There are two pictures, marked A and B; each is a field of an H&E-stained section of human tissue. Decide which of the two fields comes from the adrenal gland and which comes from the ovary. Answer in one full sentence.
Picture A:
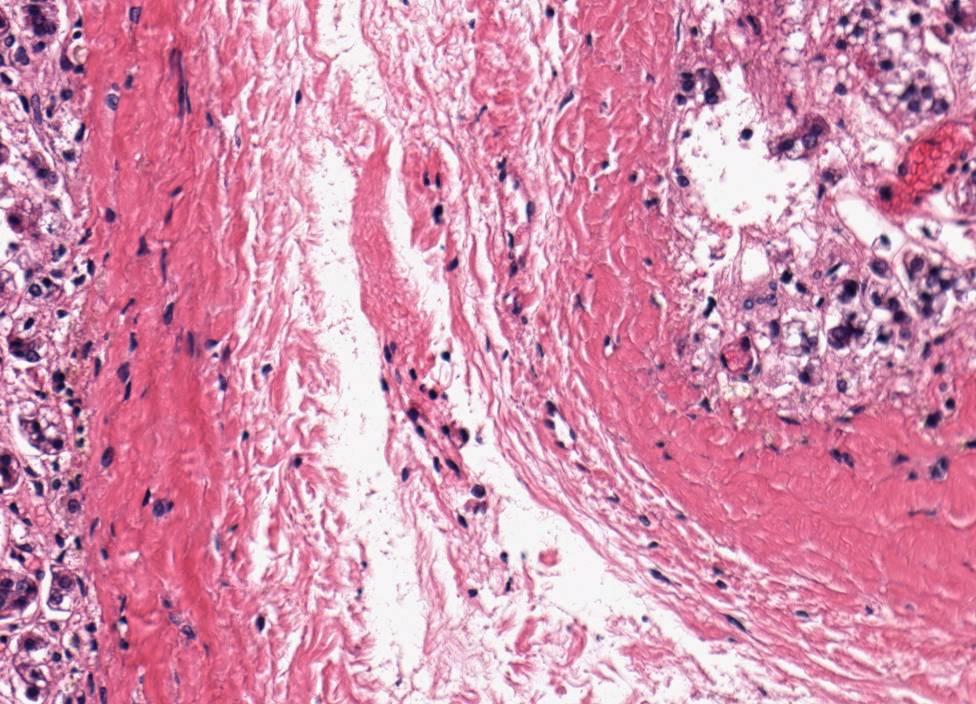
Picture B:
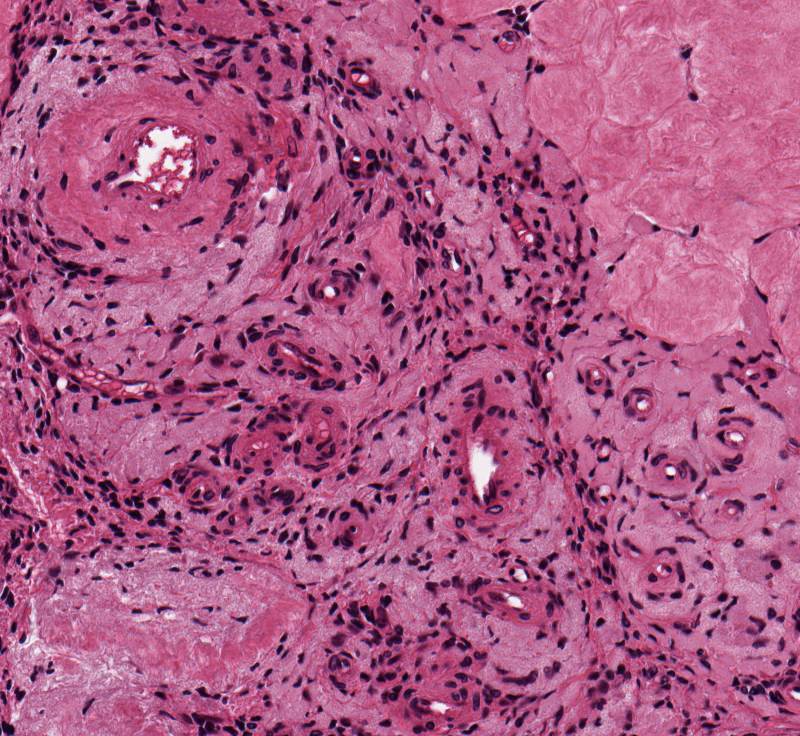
Picture A comes from the adrenal gland; picture B comes from the ovary.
